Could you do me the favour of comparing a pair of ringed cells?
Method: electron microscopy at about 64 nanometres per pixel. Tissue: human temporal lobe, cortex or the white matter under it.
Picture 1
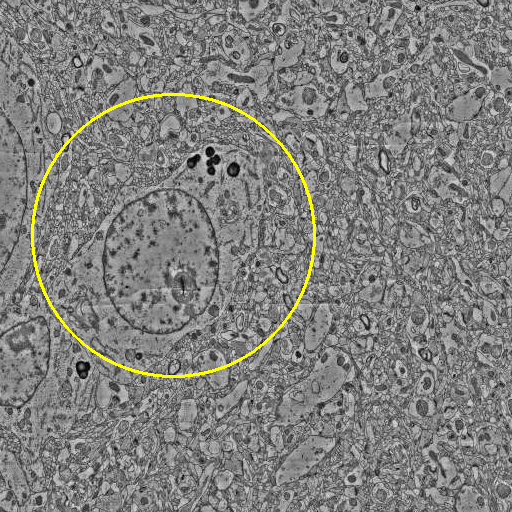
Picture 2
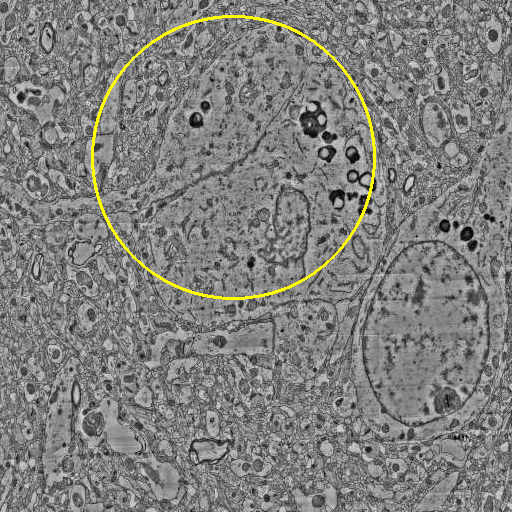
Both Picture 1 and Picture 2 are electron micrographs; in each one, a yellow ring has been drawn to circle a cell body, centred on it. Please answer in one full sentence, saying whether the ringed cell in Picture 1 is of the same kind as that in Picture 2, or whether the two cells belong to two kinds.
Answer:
The ringed cell in Picture 1 is of the same kind as that in Picture 2.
